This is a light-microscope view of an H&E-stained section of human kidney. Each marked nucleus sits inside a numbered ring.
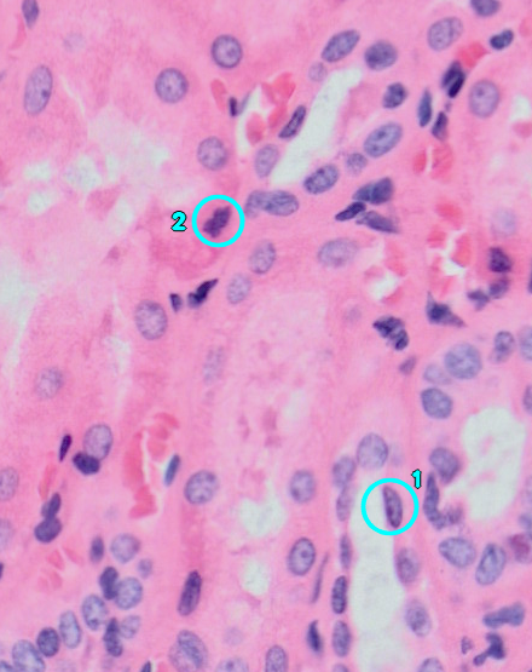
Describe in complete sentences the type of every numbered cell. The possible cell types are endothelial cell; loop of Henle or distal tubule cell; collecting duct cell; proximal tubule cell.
Cell 1 is a loop of Henle or distal tubule cell and cell 2 is a proximal tubule cell.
